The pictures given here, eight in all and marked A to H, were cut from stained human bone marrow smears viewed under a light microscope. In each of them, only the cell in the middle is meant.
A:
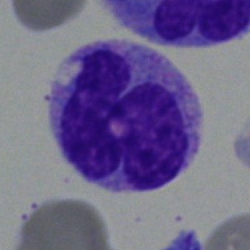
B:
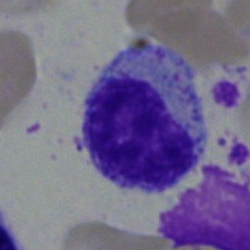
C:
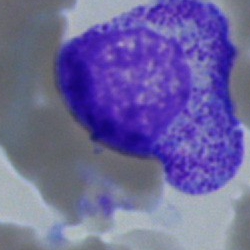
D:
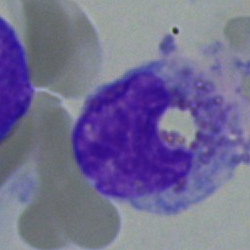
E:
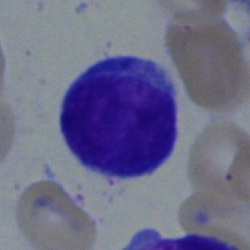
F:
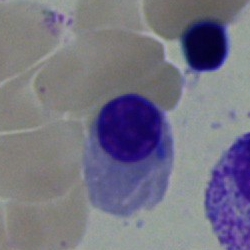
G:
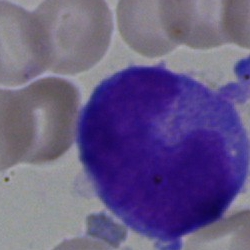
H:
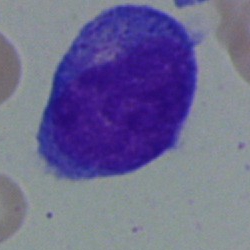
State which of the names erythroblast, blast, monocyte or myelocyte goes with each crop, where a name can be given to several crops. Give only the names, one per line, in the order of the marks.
monocyte
myelocyte
myelocyte
monocyte
blast
erythroblast
monocyte
blast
